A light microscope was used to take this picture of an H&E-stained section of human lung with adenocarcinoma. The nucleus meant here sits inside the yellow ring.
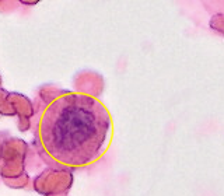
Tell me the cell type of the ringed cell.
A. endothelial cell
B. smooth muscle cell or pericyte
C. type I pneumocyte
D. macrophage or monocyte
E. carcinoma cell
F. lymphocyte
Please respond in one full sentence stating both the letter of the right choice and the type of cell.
What option D states, that the ringed cell is a macrophage or monocyte, is correct.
